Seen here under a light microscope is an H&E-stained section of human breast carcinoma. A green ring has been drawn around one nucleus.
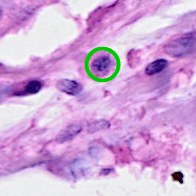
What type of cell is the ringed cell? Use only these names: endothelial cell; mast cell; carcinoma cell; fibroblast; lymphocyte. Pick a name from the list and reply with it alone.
mast cell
